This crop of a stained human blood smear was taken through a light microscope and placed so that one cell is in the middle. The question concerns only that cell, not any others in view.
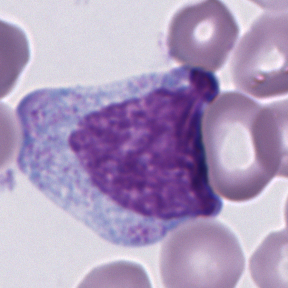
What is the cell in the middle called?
promyelocyte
